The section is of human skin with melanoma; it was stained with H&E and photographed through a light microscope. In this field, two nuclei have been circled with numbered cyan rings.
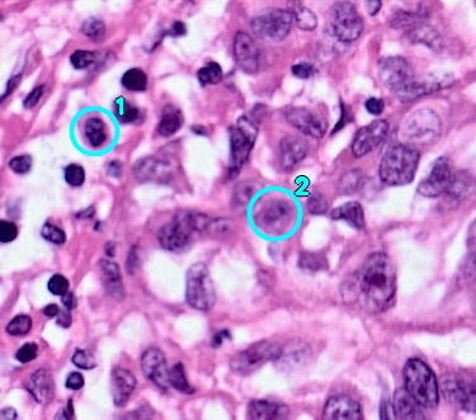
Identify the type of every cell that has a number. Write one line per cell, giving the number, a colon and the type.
1: plasma cell
2: melanoma cell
